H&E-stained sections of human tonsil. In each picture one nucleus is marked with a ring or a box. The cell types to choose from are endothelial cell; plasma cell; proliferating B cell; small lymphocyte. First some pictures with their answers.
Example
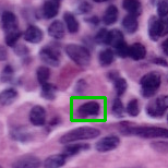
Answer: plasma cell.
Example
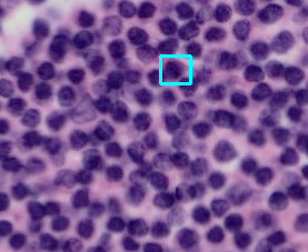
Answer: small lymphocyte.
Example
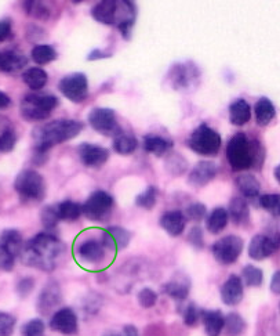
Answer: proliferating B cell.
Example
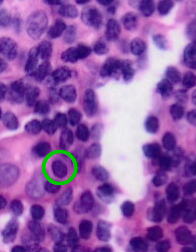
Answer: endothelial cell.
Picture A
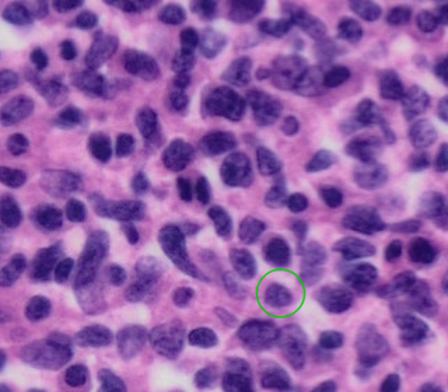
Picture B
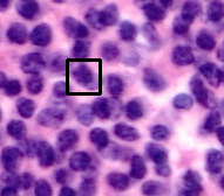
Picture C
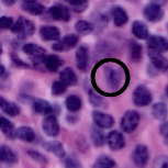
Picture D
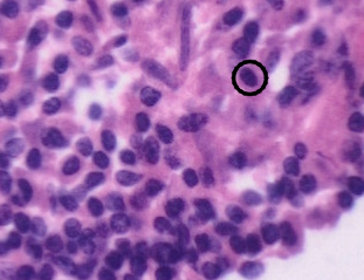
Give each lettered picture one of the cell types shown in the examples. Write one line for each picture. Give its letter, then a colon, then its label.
A: proliferating B cell.
B: small lymphocyte.
C: endothelial cell.
D: plasma cell.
